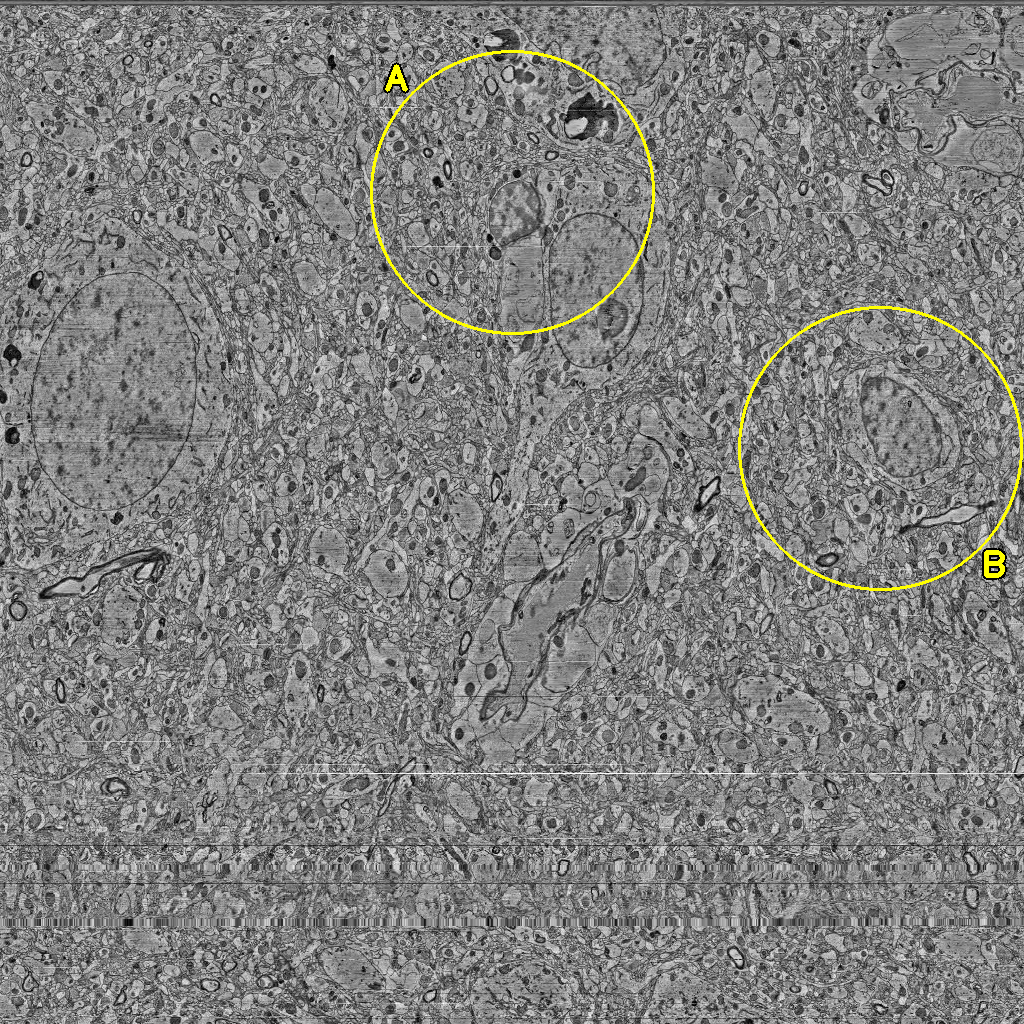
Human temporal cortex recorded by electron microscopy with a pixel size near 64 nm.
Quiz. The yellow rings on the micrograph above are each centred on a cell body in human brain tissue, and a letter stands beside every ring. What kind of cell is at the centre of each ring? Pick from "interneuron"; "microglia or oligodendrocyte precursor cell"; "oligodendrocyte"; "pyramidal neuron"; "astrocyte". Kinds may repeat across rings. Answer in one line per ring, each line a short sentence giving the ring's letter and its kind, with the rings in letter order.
The ring labelled A has a microglial cell or oligodendrocyte precursor cell at its centre.
The ring labelled B has an interneuron at its centre.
